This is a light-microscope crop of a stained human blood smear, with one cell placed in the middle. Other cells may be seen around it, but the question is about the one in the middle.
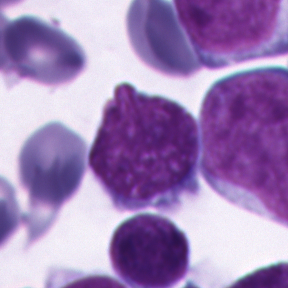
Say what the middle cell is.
blast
